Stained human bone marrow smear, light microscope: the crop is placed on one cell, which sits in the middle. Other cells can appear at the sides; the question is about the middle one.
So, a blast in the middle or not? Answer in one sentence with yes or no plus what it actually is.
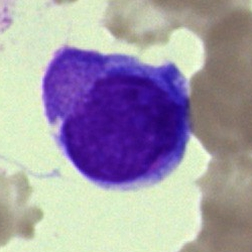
Yes, the cell placed centrally within the crop is a blast.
